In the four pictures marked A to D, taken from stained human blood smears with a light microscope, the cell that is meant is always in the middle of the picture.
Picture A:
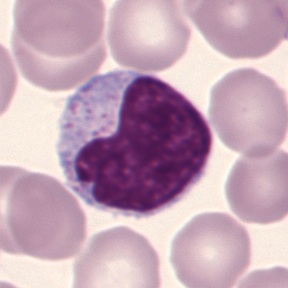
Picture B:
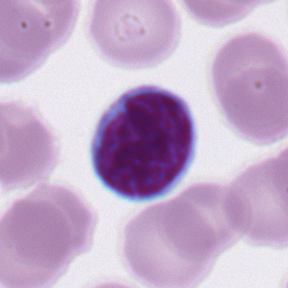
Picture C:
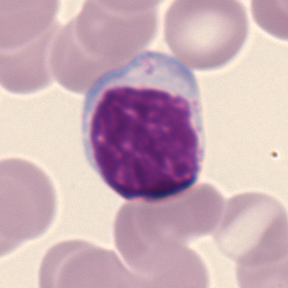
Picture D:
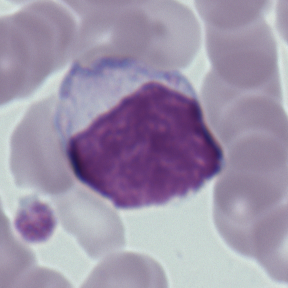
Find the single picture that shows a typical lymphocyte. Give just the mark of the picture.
B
